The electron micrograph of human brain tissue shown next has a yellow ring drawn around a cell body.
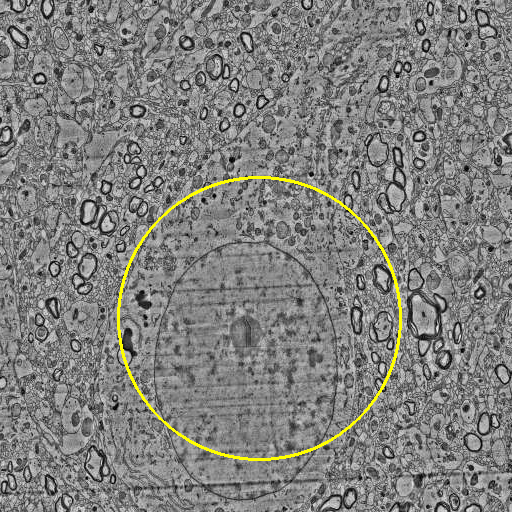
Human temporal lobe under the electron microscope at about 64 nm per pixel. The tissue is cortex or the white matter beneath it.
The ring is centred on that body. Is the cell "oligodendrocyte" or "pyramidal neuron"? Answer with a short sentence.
The cell in question is a pyramidal neuron.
